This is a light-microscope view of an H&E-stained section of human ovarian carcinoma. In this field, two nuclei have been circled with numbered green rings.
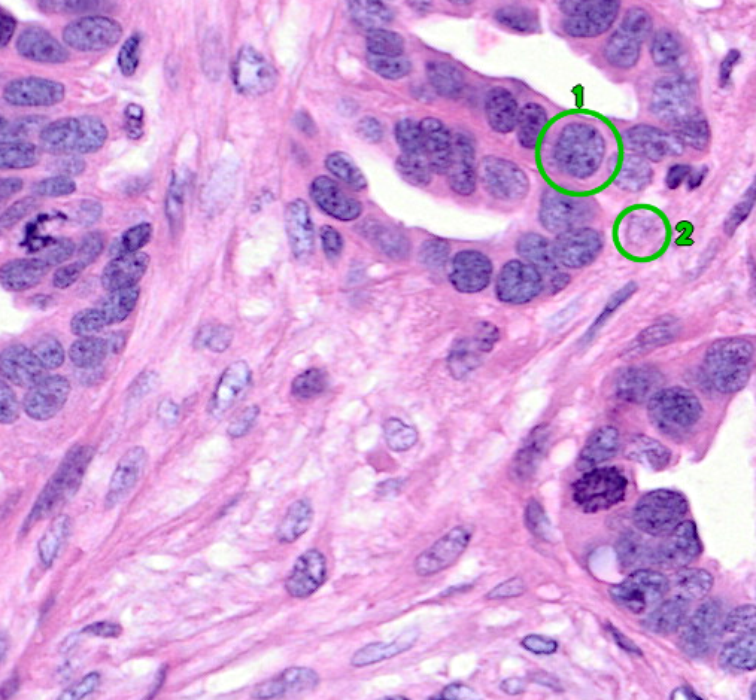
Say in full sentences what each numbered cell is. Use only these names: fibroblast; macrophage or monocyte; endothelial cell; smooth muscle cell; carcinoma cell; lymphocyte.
Cell 1 is a carcinoma cell and cell 2 is a fibroblast.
